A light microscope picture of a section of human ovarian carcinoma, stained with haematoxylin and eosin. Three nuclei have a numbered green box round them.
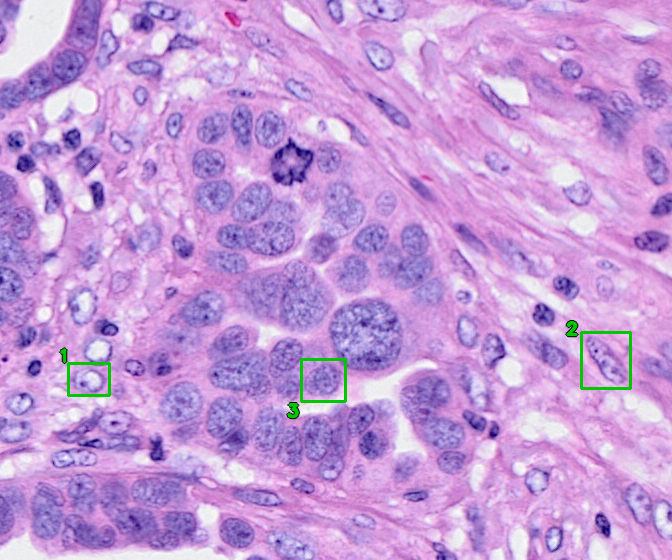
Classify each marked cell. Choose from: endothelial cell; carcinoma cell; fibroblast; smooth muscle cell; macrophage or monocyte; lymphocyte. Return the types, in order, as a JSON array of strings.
["fibroblast", "fibroblast", "carcinoma cell"]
